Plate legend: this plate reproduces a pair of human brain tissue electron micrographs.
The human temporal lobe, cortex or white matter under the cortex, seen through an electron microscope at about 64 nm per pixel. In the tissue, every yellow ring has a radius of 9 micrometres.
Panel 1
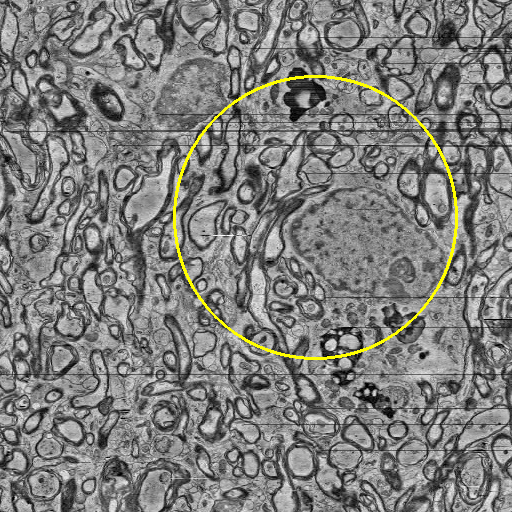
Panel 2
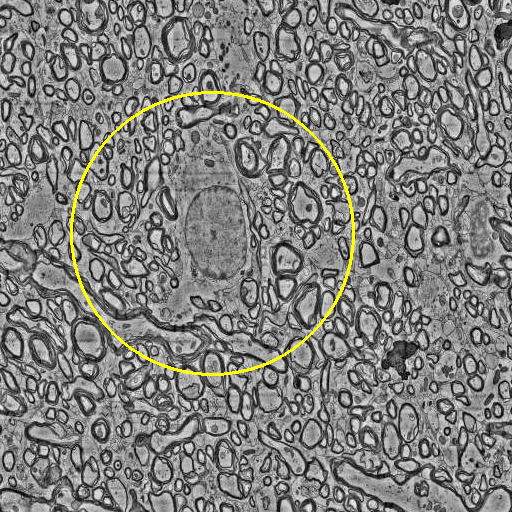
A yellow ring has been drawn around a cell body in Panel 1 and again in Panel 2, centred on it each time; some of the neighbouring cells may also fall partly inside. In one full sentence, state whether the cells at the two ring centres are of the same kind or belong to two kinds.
The ring-centred cells of Panel 1 and Panel 2 are of the same kind.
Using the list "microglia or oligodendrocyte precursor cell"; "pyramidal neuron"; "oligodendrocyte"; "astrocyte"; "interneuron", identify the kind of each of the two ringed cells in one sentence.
Both the first and the second picture show an astrocyte in the ring.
